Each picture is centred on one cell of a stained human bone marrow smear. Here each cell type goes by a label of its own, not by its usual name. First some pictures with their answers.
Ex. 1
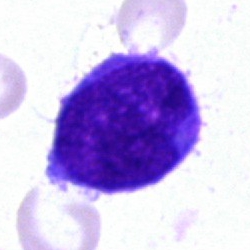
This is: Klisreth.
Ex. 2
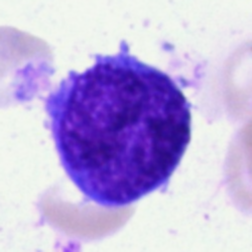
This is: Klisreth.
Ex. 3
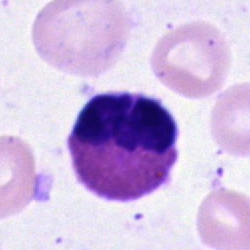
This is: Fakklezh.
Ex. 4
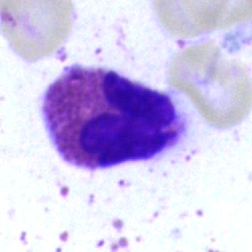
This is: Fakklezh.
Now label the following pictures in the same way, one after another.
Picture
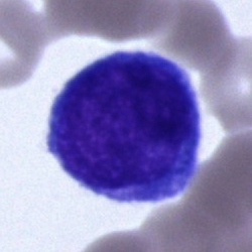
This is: Klisreth.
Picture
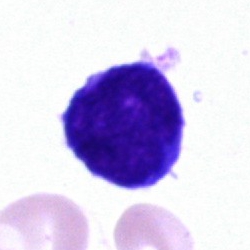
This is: Klisreth.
